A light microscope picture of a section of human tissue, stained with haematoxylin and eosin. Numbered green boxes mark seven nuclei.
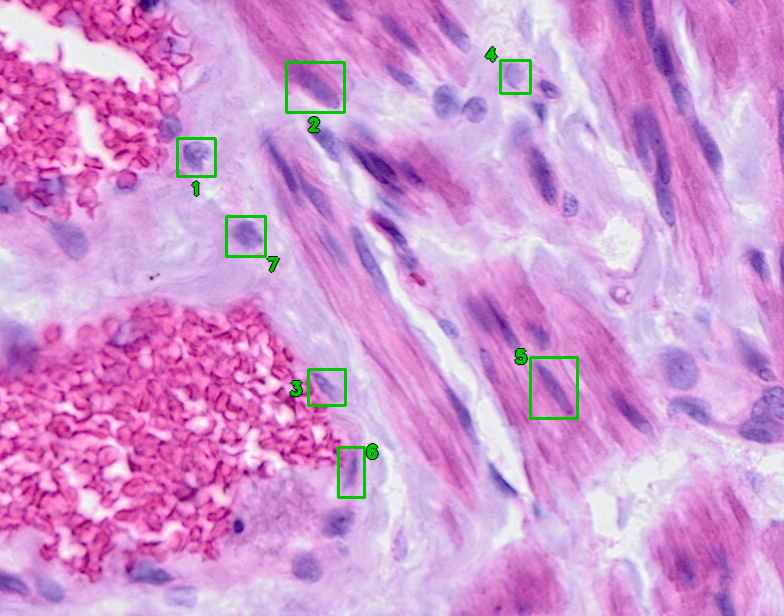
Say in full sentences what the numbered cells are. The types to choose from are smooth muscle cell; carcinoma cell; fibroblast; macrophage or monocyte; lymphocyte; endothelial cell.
Cell 1 is a fibroblast, cell 2 is a smooth muscle cell, cell 3 is an endothelial cell, cell 4 is a fibroblast, cell 5 is a smooth muscle cell, cell 6 is an endothelial cell and cell 7 is a fibroblast.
